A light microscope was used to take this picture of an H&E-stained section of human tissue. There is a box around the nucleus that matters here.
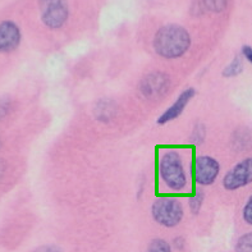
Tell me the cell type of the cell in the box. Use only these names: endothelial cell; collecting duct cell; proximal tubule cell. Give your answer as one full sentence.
In this tissue sample, the cell in the box is a collecting duct cell.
